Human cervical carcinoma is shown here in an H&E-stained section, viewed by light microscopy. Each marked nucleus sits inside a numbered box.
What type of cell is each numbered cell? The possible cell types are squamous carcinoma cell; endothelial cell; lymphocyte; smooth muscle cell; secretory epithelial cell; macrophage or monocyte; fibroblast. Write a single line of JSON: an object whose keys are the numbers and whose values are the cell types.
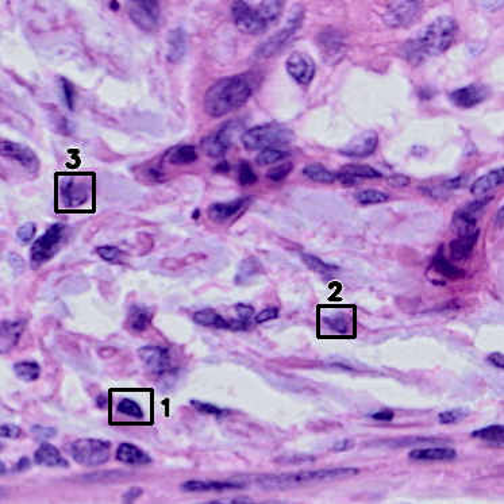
{"1": "lymphocyte", "2": "fibroblast", "3": "macrophage or monocyte"}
